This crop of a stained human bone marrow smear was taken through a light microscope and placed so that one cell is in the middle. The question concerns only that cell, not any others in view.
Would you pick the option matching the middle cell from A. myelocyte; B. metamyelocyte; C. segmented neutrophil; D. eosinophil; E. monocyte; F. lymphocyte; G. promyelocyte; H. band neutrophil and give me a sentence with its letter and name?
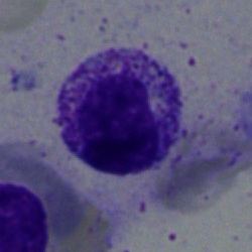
The correct option here is A; the middle cell is a myelocyte.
